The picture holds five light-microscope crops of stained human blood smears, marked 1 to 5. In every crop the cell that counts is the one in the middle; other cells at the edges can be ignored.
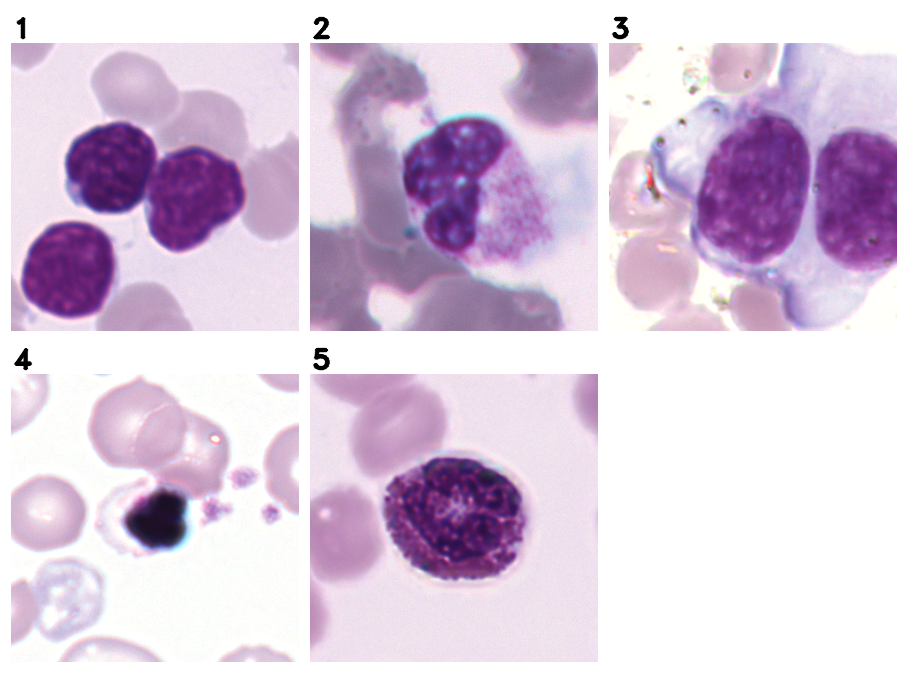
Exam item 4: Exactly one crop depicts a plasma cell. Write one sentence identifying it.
On review of the set, crop 3 is the one showing a plasma cell.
